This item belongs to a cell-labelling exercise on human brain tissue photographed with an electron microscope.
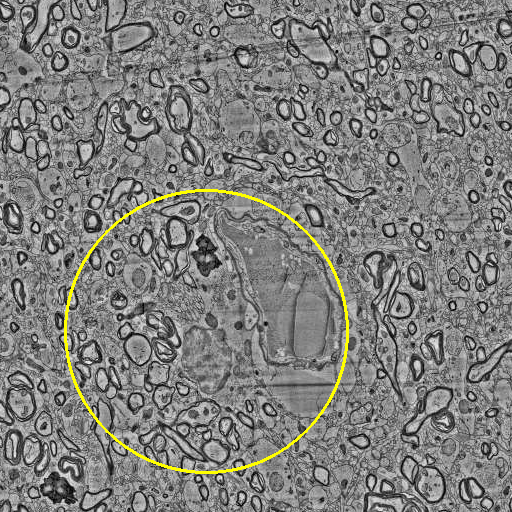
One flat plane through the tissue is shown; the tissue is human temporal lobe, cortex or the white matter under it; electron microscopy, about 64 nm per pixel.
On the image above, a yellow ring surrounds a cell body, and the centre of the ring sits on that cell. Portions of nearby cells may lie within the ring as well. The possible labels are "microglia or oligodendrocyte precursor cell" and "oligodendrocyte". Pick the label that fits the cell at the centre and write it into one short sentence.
This cell should be labelled as an oligodendrocyte.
